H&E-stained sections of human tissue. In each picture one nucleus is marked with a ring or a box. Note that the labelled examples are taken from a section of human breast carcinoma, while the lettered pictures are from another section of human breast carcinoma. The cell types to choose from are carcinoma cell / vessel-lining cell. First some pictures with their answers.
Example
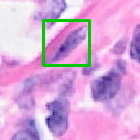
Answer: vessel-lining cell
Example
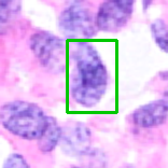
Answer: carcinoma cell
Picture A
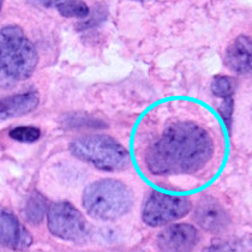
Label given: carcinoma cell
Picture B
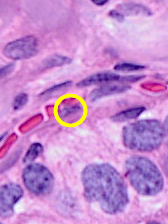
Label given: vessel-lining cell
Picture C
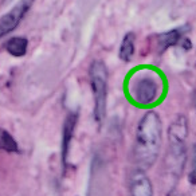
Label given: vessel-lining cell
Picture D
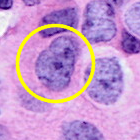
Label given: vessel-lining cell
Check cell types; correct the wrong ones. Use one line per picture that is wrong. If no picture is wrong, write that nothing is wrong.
D is labelled vessel-lining cell; correct label: carcinoma cell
